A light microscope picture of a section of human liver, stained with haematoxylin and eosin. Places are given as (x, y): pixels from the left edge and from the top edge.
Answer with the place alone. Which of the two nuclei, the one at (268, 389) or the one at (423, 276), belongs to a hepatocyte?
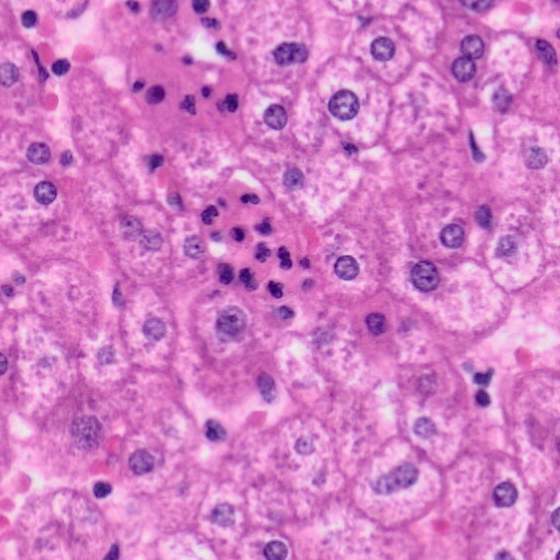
(423, 276)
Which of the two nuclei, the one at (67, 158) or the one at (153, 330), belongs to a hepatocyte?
(153, 330)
